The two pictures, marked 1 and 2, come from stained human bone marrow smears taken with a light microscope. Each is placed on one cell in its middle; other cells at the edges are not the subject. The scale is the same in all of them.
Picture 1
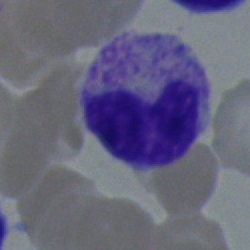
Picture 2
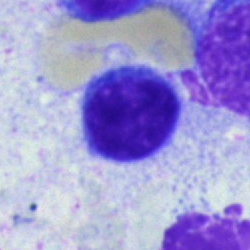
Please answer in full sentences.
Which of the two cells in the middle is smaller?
The cell in picture 2 is smaller; the one in picture 1 has about 1.5 times its area.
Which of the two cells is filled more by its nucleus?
Of the two, the nucleus in picture 2 makes up the greater part of its cell.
